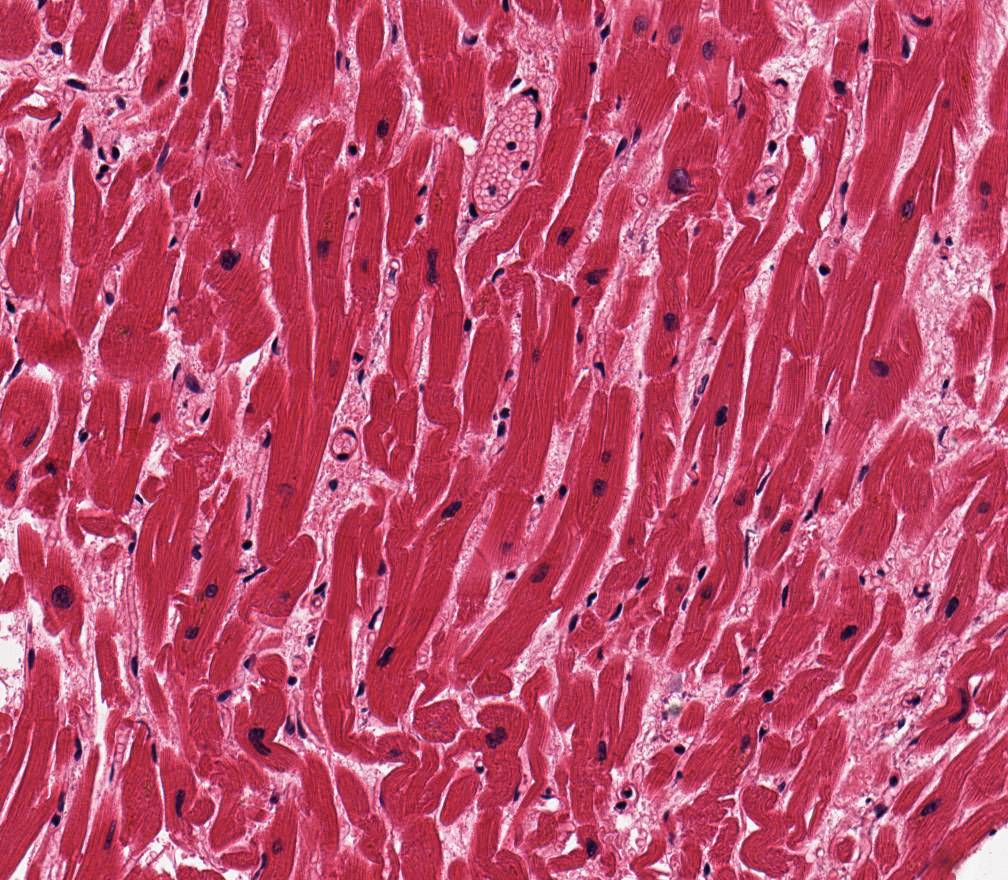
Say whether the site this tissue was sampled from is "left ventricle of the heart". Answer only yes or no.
yes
